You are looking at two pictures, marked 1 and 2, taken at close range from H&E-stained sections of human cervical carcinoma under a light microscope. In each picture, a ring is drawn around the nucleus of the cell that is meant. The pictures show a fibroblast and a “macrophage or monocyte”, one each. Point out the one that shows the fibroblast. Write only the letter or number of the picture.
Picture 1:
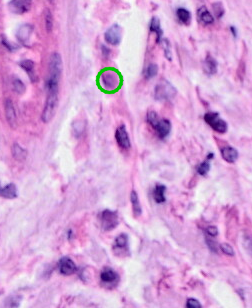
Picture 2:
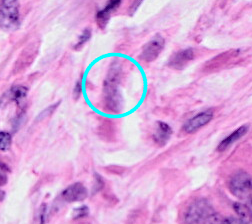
2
